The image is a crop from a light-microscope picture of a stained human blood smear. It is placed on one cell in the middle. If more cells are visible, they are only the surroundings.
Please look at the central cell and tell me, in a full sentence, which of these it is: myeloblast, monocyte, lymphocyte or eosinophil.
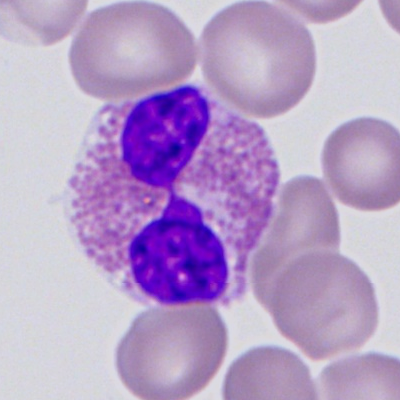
In the crop, the cell of interest at the centre is an eosinophil.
